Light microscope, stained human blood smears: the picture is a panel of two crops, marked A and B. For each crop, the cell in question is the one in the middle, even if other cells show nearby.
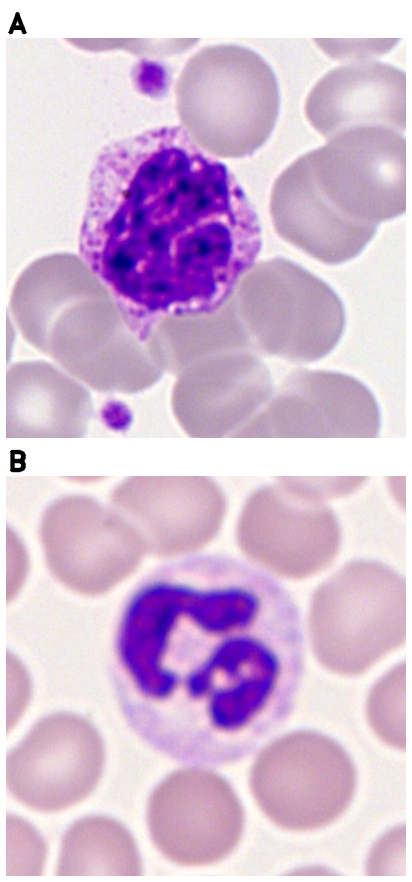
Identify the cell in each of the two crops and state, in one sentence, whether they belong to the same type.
No, the assignment should read crop A, a basophil; crop B, a segmented neutrophil.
